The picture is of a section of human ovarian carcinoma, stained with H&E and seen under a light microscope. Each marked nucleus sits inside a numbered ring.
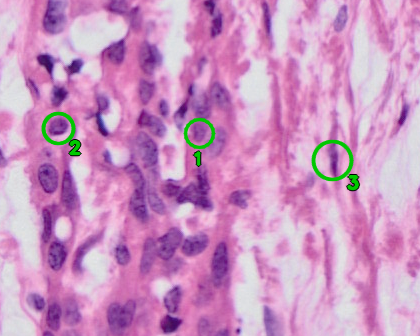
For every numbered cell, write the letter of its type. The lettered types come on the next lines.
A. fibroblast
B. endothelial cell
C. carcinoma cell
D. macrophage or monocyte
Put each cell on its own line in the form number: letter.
1: C
2: D
3: A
